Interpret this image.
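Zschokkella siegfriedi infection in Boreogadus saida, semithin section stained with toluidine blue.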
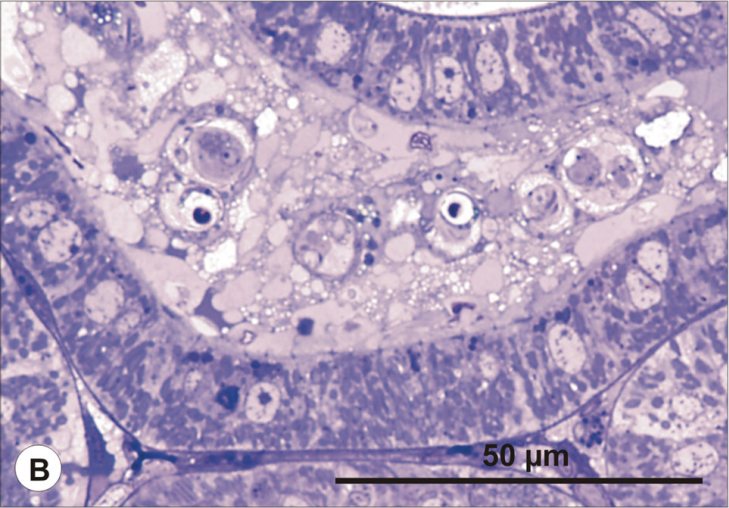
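The lumen contents are pale and heavily vacuolated, with rounded bodies, some bearing a dark central inclusion surrounded by a clear halo. The epithelial lining is a layer of columnar cells with oval nuclei and darkly stained, granular cytoplasm. The tubule is bounded by a thin basement membrane with narrow interstitium between it and neighbouring tubules.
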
